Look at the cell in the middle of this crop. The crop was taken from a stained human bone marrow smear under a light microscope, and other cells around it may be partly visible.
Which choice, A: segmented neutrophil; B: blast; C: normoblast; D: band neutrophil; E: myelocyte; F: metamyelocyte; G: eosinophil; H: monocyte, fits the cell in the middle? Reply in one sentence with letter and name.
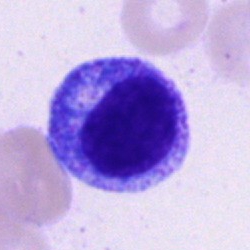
In the centre of the crop there is a myelocyte, making option E correct.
